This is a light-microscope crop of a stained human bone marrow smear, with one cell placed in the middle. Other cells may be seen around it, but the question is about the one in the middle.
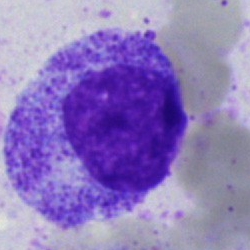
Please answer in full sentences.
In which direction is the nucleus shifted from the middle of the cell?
Seen from the middle of the cell, the nucleus lies toward the right.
